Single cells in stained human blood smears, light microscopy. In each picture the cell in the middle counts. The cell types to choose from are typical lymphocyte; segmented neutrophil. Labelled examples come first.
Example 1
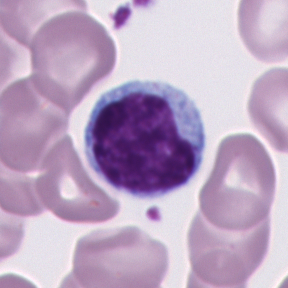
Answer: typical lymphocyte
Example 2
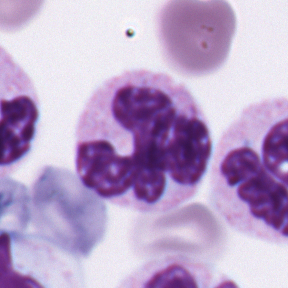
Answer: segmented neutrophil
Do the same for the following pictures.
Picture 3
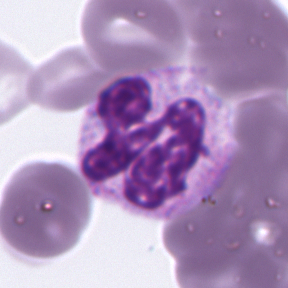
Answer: segmented neutrophil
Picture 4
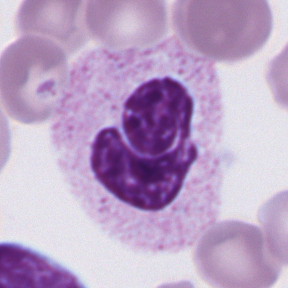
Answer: segmented neutrophil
